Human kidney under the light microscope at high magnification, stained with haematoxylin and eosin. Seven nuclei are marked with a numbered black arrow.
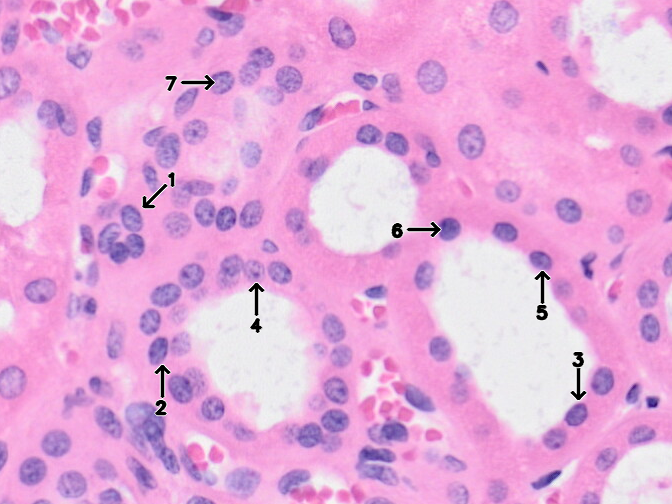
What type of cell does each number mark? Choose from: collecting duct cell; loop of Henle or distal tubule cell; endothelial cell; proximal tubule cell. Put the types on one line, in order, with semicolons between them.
collecting duct cell; collecting duct cell; loop of Henle or distal tubule cell; collecting duct cell; loop of Henle or distal tubule cell; loop of Henle or distal tubule cell; collecting duct cell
